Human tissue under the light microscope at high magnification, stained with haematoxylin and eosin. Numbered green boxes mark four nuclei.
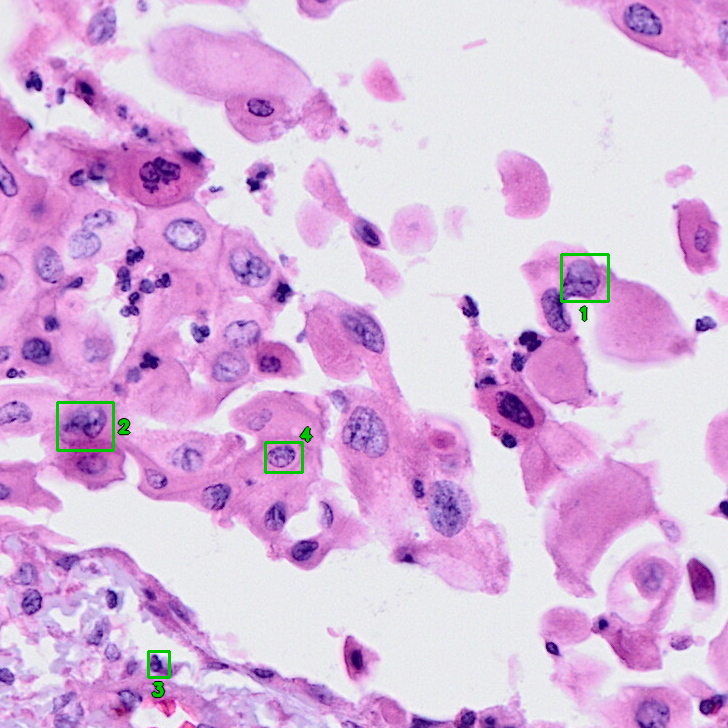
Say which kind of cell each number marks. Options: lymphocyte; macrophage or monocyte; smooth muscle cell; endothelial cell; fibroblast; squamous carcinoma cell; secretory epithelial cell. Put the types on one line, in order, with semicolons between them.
squamous carcinoma cell; squamous carcinoma cell; lymphocyte; squamous carcinoma cell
